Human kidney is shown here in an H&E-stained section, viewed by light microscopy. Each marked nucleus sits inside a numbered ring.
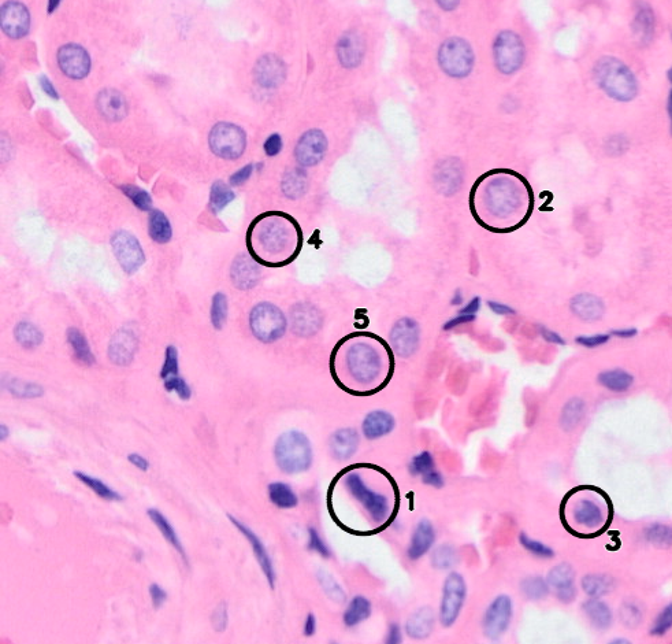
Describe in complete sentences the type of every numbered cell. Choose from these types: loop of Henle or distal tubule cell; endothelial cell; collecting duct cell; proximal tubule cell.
Cell 1 is a collecting duct cell, cell 2 is a proximal tubule cell, cell 3 is a loop of Henle or distal tubule cell, cell 4 is a proximal tubule cell and cell 5 is a proximal tubule cell.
